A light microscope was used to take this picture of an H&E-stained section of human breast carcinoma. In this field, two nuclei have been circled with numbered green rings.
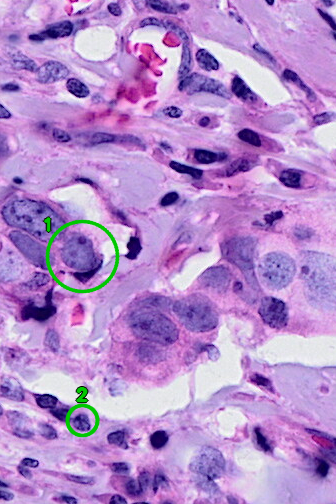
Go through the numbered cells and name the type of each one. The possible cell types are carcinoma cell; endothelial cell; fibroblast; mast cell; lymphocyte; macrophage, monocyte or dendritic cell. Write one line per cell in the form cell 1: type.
cell 1: carcinoma cell
cell 2: lymphocyte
